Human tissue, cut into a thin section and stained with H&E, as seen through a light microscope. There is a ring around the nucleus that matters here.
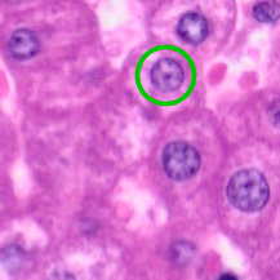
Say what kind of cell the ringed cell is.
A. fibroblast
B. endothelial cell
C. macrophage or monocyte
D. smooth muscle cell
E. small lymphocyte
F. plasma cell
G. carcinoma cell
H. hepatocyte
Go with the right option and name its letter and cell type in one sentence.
Answer with option H; the ringed cell is a hepatocyte.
